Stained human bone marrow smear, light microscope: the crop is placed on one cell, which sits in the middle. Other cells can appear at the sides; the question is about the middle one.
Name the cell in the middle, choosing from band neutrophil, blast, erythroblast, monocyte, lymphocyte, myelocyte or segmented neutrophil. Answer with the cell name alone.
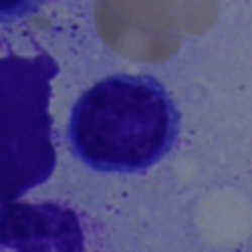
lymphocyte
